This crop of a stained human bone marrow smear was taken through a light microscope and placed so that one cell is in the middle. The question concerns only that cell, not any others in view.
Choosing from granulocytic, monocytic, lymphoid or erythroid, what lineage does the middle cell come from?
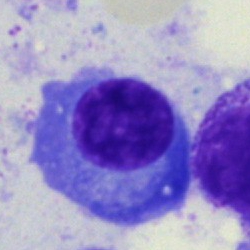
lymphoid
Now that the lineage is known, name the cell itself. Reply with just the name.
plasma cell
